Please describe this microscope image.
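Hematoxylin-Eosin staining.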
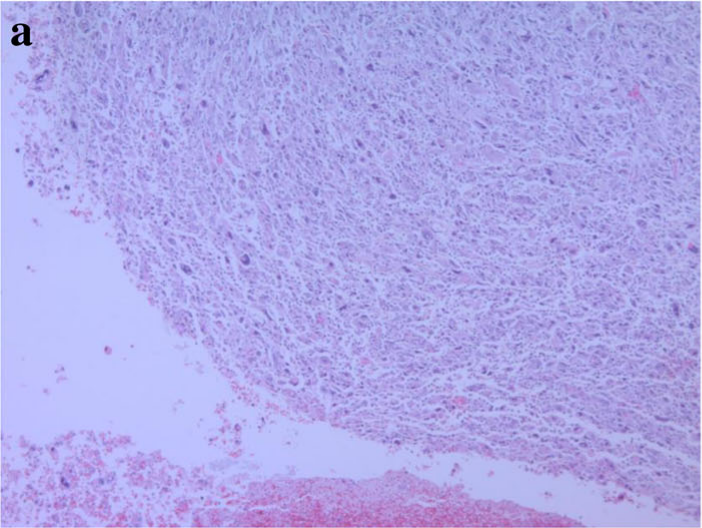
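At low power this is a cellular tumor whose spindle-shaped cells spread diffusely as a dense, pink-and-purple sheet across most of the field. No glands, lobules or orderly layers break up the sheet; the cells streak in loose, wavy bundles. Along the lower and left edge the tissue gives way to an empty space and a band of red blood.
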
